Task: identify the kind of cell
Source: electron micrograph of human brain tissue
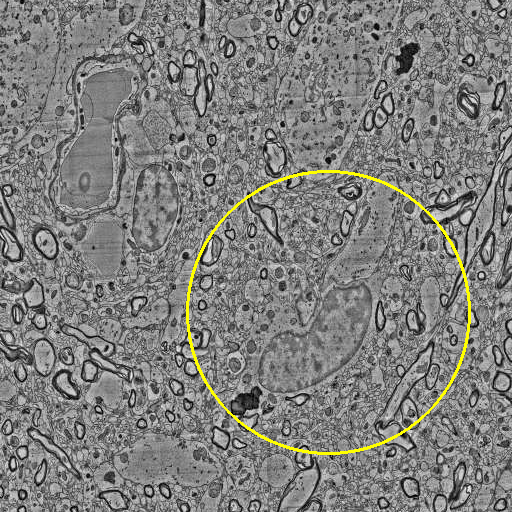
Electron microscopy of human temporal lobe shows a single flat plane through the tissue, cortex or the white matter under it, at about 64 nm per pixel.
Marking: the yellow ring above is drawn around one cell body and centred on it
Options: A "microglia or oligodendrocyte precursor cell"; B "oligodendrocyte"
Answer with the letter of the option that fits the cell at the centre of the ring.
B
